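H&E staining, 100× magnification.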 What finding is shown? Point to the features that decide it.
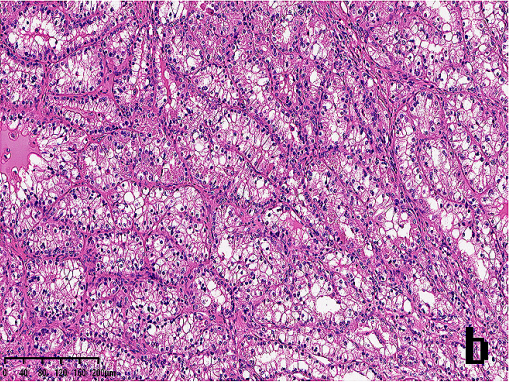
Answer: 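The tumor cells have pale, empty-looking cytoplasm. Small dark nuclei sit within cells whose bodies are largely unstained.
Hence: optically clear cytoplasm.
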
